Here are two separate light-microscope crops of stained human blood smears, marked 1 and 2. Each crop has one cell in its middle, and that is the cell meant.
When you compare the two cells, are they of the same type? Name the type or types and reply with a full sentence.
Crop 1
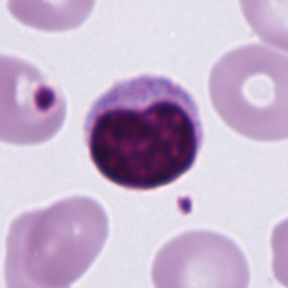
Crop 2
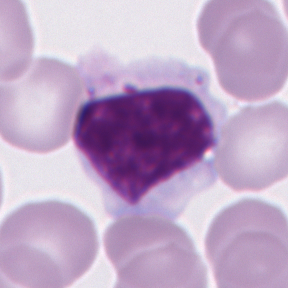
Yes, the two crops share the same answer, large granular lymphocytes.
